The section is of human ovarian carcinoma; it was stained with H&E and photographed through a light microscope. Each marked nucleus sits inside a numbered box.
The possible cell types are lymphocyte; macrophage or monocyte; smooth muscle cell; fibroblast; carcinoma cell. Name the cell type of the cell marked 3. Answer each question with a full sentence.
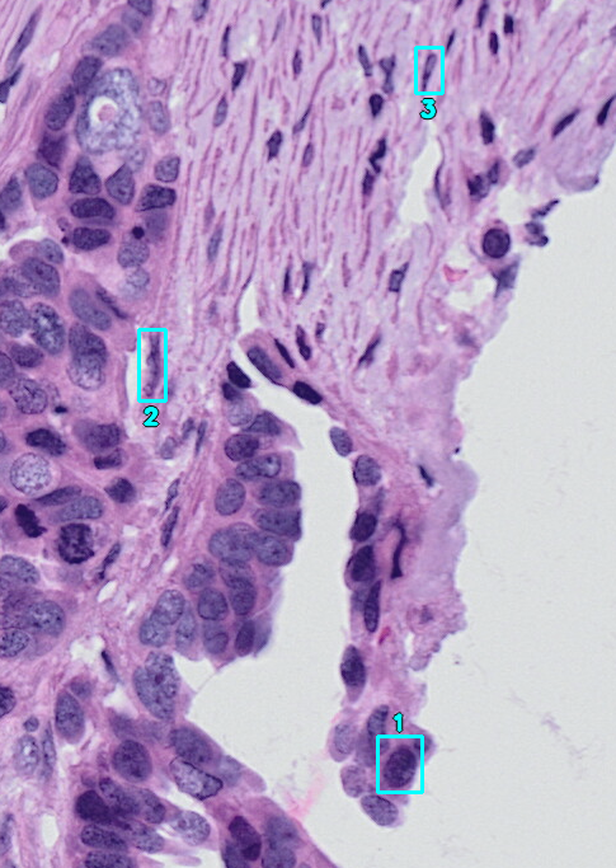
Here, the cell given the number 3 is a fibroblast.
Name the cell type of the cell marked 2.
Number 2 is placed on a fibroblast here.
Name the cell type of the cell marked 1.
Nucleus 1 in this section belongs to a carcinoma cell.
